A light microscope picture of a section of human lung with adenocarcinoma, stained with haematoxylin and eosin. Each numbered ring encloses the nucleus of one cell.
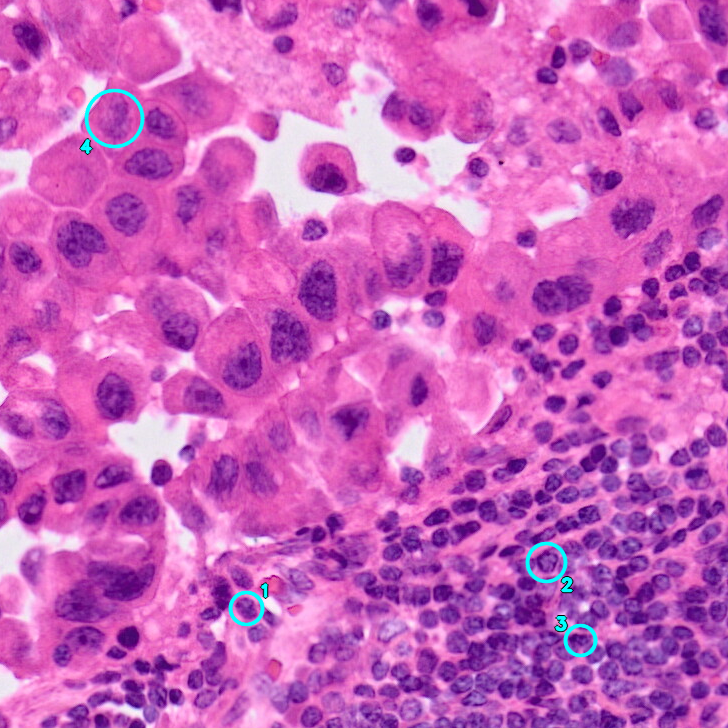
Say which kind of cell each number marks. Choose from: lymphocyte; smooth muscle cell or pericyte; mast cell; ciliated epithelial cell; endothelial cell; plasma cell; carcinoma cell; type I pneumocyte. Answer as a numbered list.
1. lymphocyte
2. lymphocyte
3. lymphocyte
4. carcinoma cell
